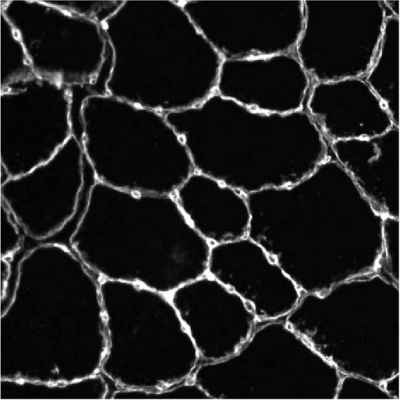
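This is a cross-section of skeletal muscle in which the myofibers appear as large, dark, polygonal profiles packed side by side. Each fiber is outlined by a thin bright white rim, so the section looks like a mosaic of irregular polygons of differing size. The interiors of the fibers are unstained and dark, and the white borders between neighbouring fibers are continuous with small bright dots and thickenings along them.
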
